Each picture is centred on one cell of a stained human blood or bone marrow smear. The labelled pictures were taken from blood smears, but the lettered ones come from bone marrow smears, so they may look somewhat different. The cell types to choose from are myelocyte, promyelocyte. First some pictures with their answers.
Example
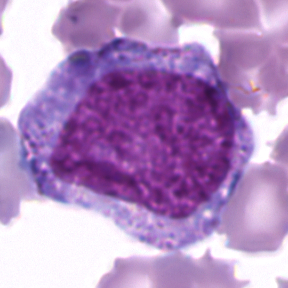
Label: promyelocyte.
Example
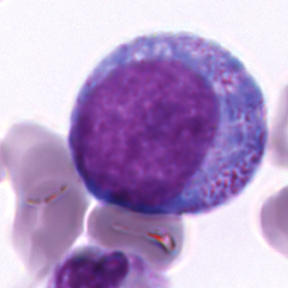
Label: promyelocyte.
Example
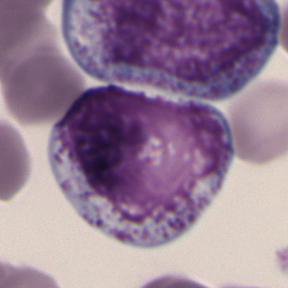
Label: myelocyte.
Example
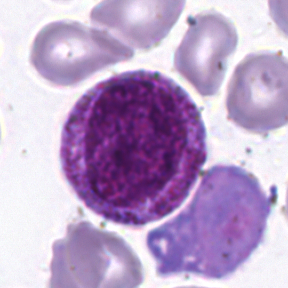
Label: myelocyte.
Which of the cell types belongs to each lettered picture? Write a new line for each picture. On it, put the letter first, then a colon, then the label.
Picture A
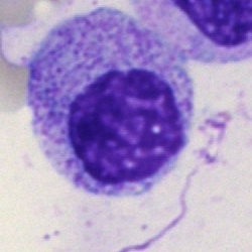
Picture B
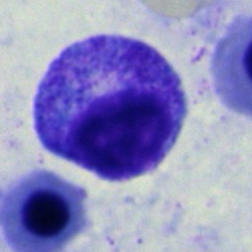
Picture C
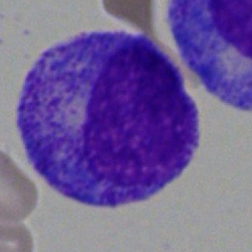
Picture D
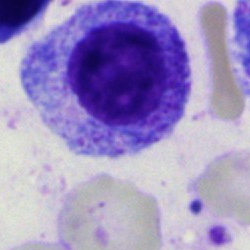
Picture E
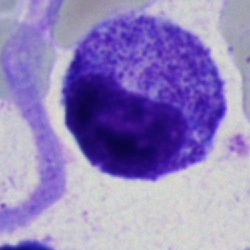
A: myelocyte.
B: myelocyte.
C: promyelocyte.
D: myelocyte.
E: myelocyte.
